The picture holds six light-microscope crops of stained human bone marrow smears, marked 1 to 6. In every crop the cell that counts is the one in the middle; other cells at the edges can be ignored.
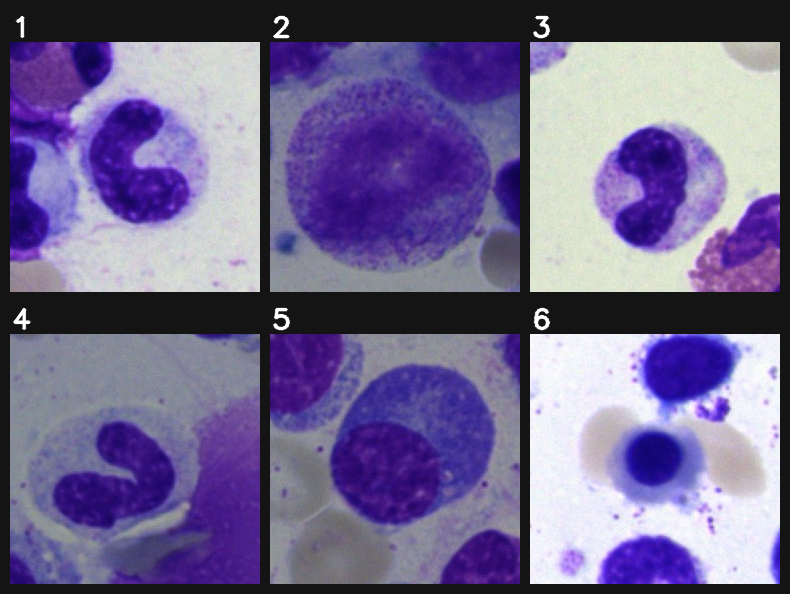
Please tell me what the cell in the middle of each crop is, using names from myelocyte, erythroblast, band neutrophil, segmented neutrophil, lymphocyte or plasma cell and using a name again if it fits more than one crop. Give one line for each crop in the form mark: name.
1: band neutrophil
2: myelocyte
3: band neutrophil
4: band neutrophil
5: plasma cell
6: erythroblast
